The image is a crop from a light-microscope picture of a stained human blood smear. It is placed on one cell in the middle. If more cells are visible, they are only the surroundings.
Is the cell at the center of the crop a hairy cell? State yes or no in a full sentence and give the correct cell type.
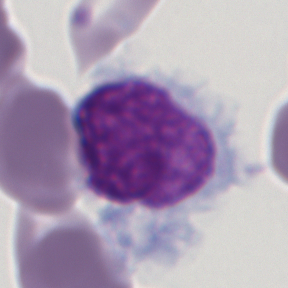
Yes, a hairy cell is what the central cell is.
